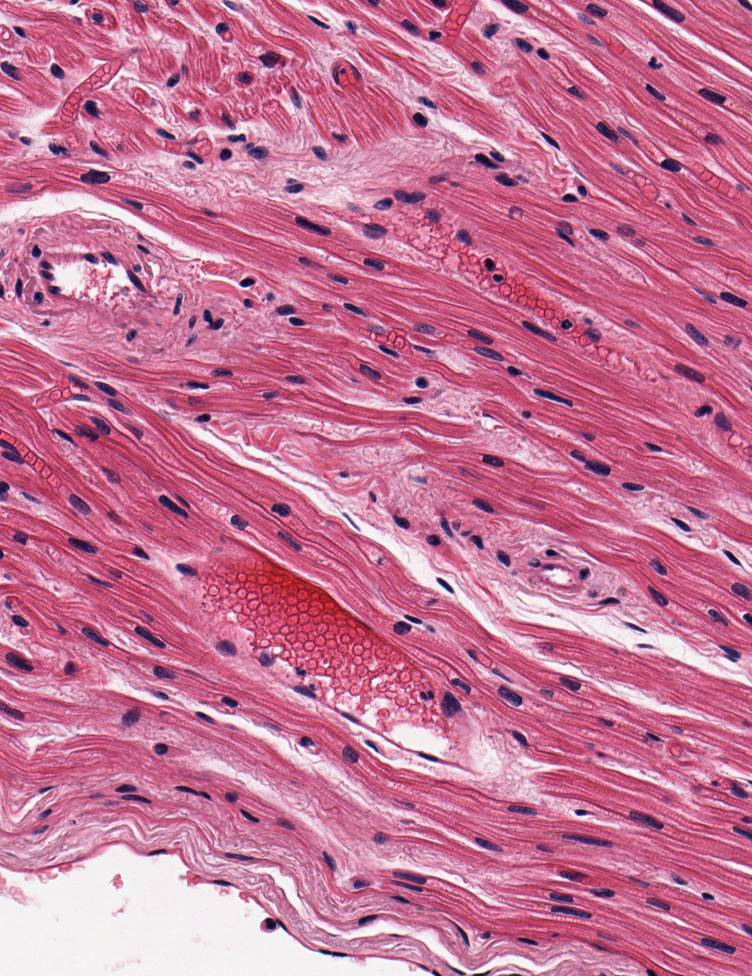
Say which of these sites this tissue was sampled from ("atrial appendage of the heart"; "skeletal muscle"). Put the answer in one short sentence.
The site this tissue was sampled from is the atrial appendage of the heart.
